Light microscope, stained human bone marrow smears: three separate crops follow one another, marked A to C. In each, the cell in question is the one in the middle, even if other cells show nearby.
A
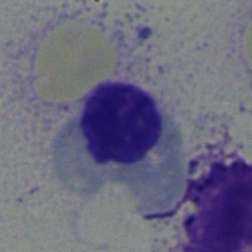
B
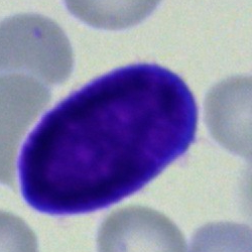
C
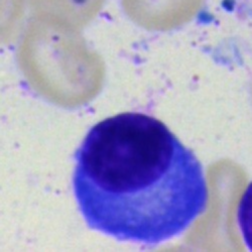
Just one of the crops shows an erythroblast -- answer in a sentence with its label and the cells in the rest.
Crop A counts as an erythroblast, while crop B is a blast and crop C is a plasma cell.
